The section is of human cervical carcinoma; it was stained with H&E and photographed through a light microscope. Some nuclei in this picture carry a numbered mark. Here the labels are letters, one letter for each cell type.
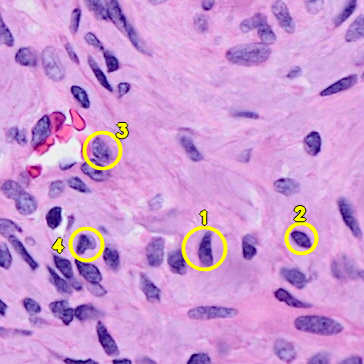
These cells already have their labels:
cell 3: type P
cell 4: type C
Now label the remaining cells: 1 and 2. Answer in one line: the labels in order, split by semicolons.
type C; type C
